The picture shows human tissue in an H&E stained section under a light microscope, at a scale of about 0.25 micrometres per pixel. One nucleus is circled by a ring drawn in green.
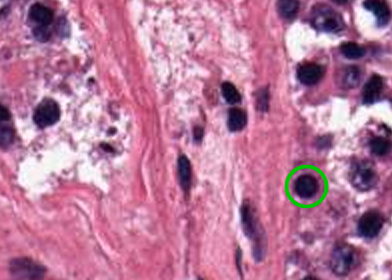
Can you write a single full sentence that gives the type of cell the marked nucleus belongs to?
In this picture, the marked nucleus belongs to a spermatogonium.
